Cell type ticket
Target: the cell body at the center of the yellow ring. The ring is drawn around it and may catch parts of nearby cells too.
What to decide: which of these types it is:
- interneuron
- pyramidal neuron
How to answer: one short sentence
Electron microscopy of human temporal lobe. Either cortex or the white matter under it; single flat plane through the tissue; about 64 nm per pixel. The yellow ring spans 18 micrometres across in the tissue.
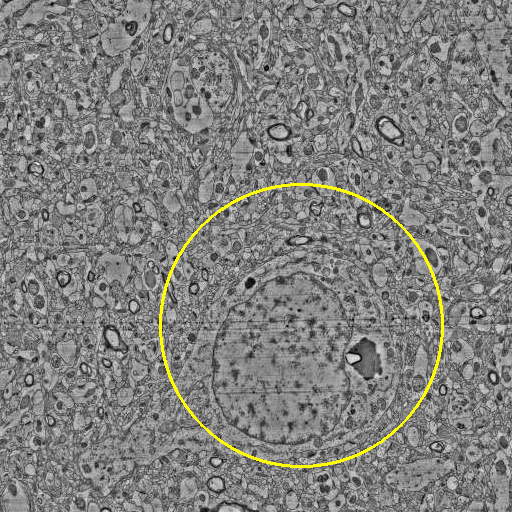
The cell at the center of the ring is an interneuron.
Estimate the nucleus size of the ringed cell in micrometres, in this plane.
The nucleus comes to roughly 11 by 9 micrometres in this plane.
